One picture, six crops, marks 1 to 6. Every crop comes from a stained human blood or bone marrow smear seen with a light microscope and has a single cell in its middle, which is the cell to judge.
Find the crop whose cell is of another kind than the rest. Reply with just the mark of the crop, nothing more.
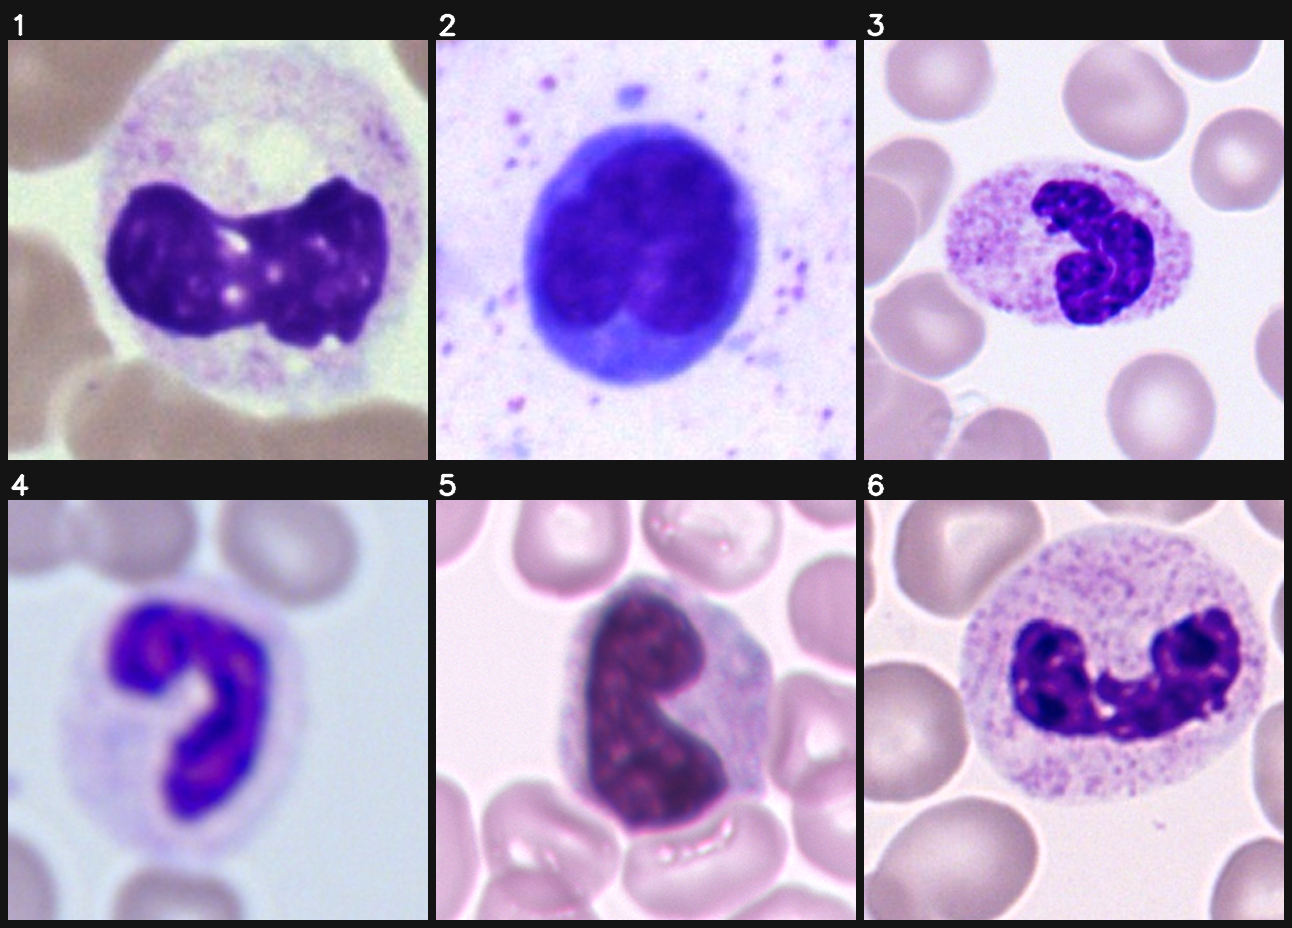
2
